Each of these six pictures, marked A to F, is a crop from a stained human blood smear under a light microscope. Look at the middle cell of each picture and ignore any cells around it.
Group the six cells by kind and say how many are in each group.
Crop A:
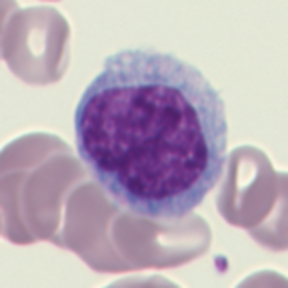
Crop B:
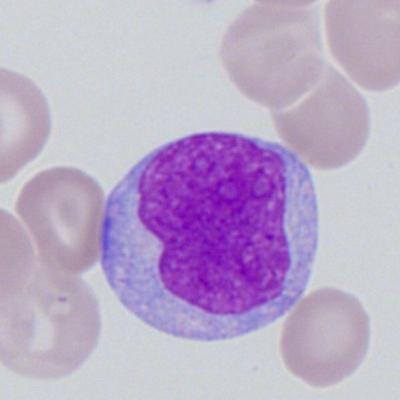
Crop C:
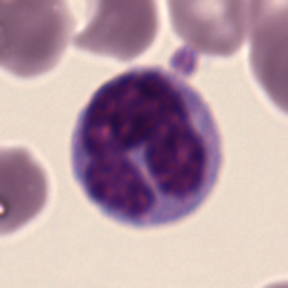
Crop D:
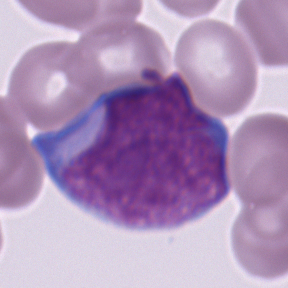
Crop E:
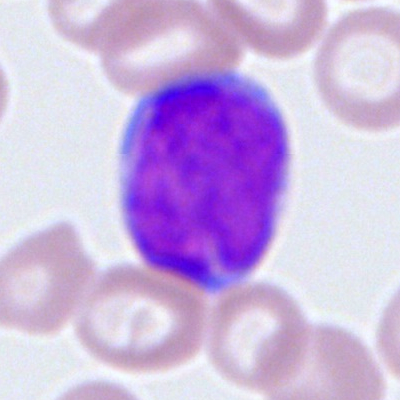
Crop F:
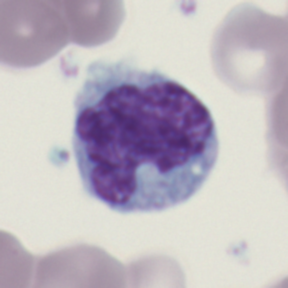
monocyte: 3
blast: 3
